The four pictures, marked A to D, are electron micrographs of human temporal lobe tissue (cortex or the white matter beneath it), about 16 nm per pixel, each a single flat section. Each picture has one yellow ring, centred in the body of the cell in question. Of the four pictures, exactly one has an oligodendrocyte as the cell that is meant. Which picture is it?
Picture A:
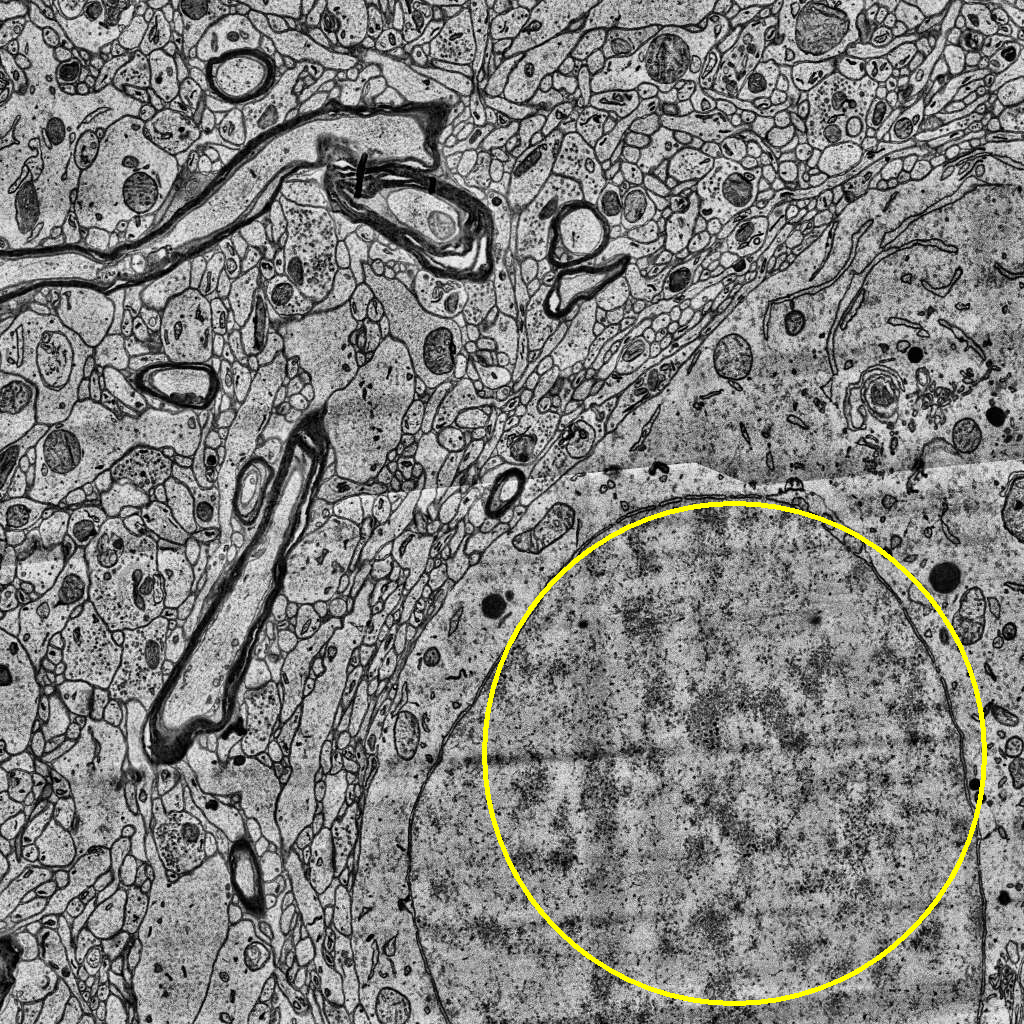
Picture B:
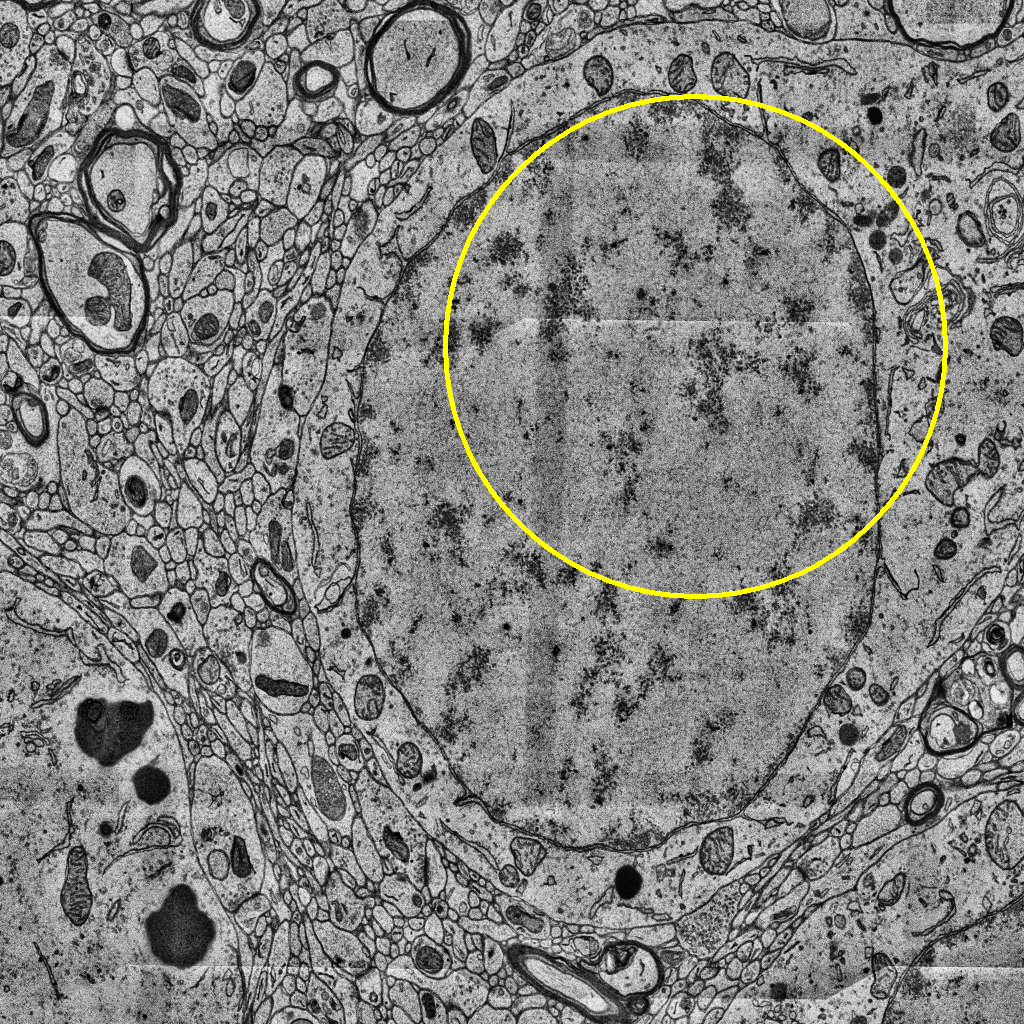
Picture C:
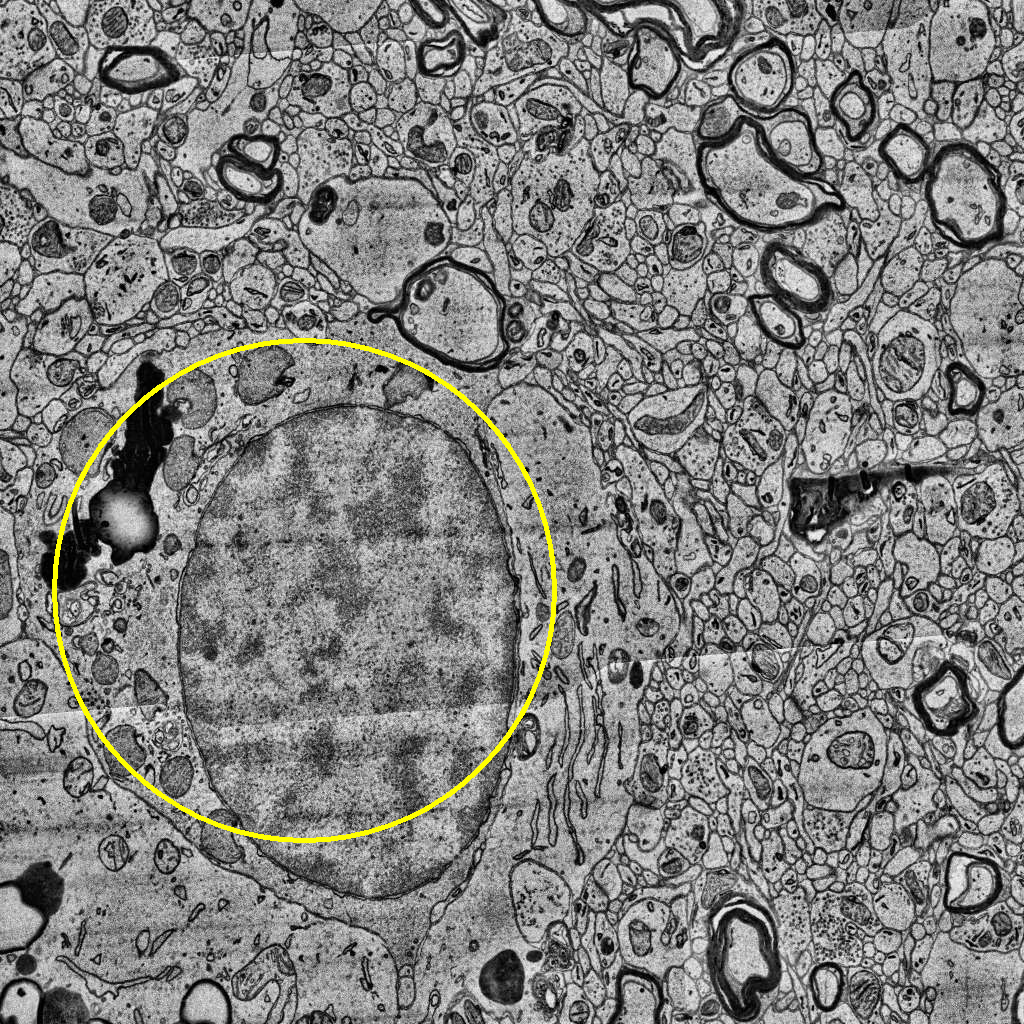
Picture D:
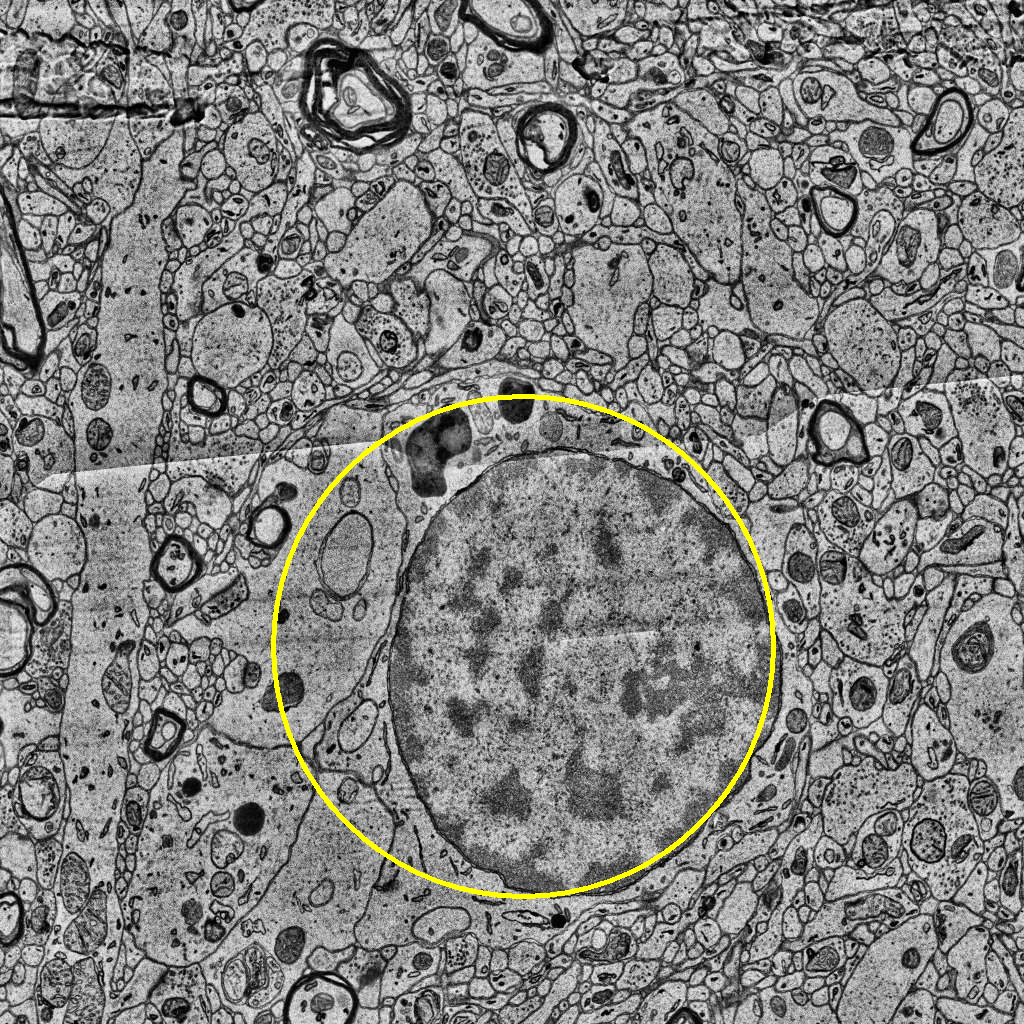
Picture C shows the oligodendrocyte.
